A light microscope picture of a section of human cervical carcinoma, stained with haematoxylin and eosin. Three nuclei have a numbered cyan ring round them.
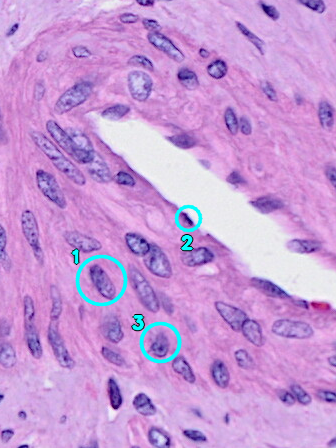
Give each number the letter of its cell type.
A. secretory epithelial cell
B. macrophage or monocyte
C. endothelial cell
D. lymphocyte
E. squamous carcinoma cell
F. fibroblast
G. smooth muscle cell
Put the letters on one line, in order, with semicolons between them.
G; C; G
